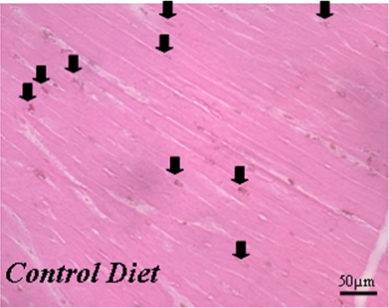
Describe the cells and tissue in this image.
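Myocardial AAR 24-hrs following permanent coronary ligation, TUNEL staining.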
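Heart muscle is cut lengthwise, with long parallel pink muscle fibers running diagonally across the field and small elongated nuclei scattered along them. Several small, dark brown, compact nuclei stand out among the fibers, pointed to by arrows.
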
